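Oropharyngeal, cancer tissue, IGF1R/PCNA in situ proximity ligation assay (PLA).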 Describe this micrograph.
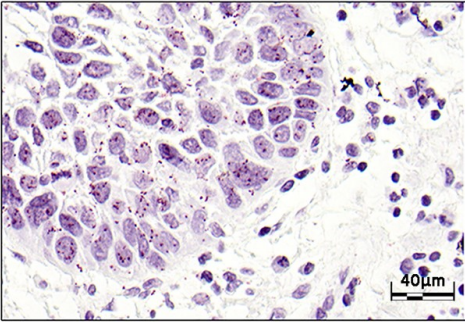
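This is squamous cell carcinoma, with a cohesive nest of tumor cells on the left whose large oval nuclei are crowded together. To the right lies loose, pale stroma with scattered small round cells that have dense, dark nuclei, the tumor infiltrating lymphocytes.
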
